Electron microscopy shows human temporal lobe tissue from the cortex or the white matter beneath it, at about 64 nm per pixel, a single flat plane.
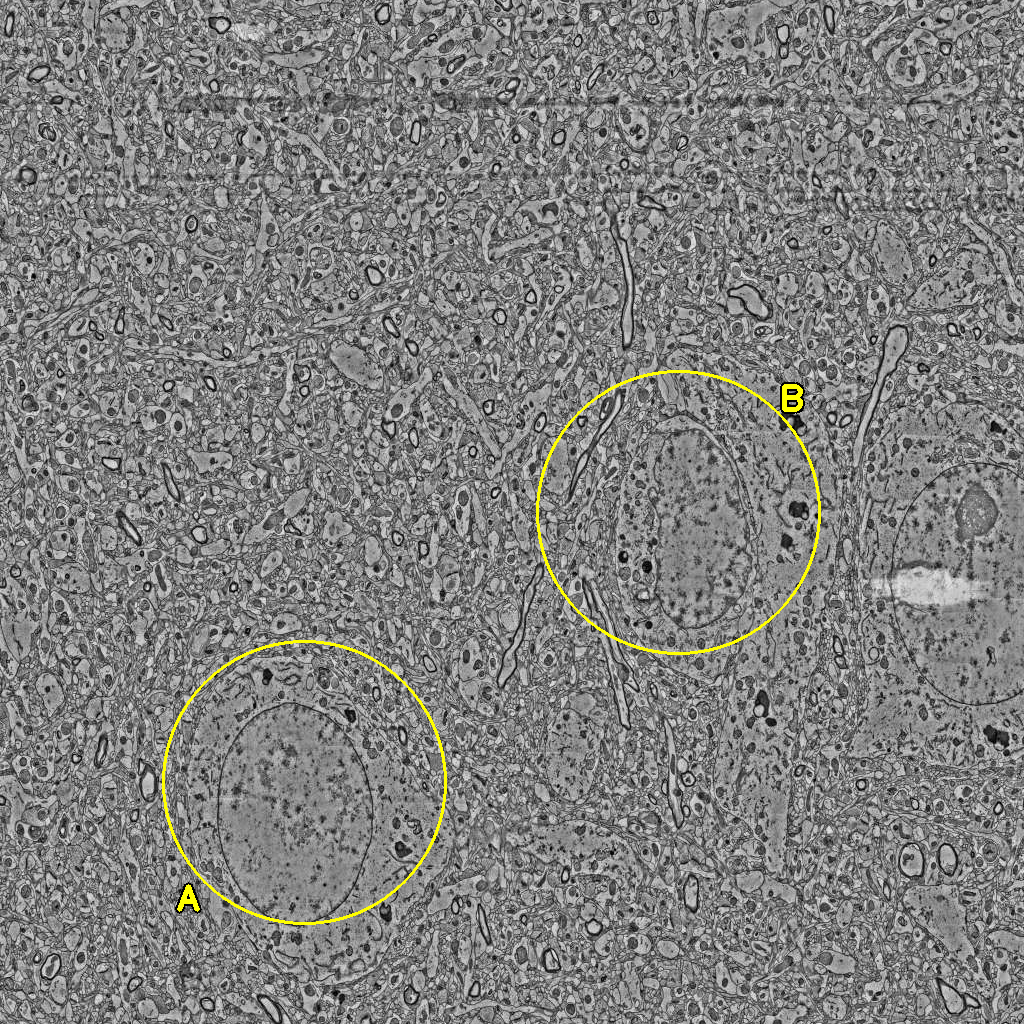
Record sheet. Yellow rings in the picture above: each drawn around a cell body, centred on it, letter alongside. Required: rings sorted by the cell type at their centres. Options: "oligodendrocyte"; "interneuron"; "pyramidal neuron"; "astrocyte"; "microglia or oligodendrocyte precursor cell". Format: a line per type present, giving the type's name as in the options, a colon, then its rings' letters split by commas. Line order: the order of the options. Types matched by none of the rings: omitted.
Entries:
interneuron: B
pyramidal neuron: A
